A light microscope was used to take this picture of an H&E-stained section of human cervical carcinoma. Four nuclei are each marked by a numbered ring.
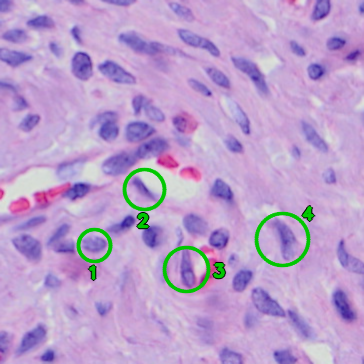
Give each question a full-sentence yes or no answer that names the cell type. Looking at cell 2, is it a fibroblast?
No, calling cell 2 a fibroblast is a mistake; it is an endothelial cell.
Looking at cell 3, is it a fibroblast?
No, calling cell 3 a fibroblast is a mistake; it is an endothelial cell.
